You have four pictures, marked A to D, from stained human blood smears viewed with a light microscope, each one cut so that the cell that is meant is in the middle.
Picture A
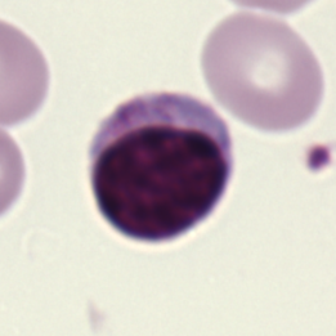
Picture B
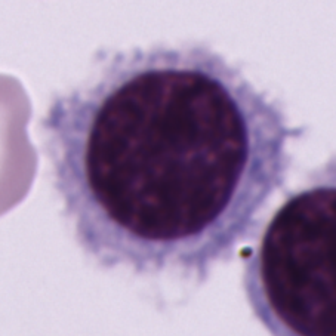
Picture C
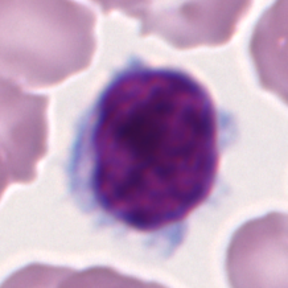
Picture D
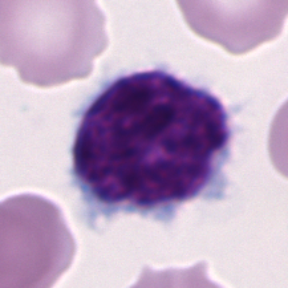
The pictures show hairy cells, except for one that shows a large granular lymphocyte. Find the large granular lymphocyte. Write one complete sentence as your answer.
Picture A is the one that shows the large granular lymphocyte.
